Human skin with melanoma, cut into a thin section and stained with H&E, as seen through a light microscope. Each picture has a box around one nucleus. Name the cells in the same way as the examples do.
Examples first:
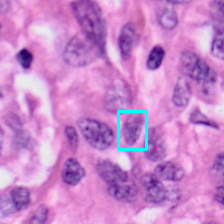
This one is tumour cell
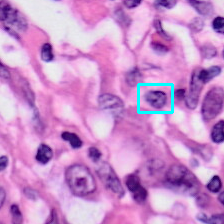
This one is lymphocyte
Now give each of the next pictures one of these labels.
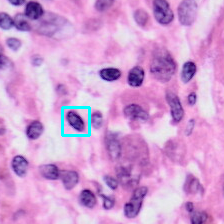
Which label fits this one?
lymphocyte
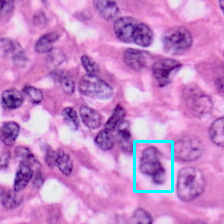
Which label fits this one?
tumour cell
